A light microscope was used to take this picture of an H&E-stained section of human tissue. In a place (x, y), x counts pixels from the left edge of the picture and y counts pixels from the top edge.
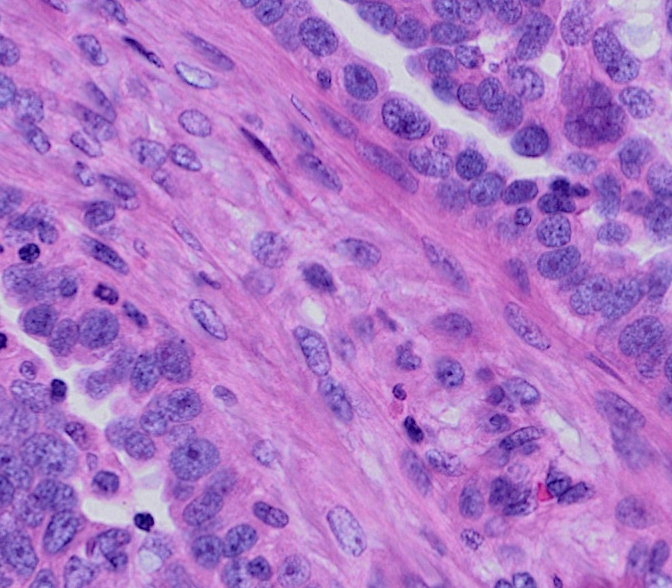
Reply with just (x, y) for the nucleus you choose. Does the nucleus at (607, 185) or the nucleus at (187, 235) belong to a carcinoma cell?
(607, 185)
